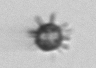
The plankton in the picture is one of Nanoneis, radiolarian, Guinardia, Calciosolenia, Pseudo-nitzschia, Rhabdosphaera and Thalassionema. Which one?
Rhabdosphaera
